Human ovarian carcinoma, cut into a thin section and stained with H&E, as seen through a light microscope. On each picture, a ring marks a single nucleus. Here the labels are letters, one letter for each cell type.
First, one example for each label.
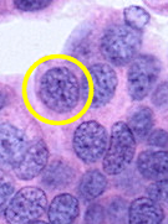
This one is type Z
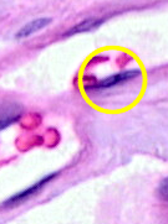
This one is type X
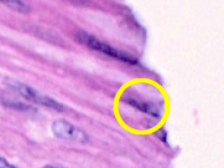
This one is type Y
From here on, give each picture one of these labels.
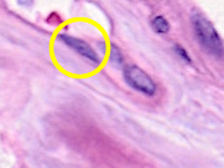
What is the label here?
type X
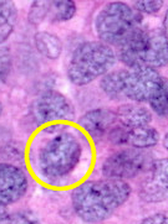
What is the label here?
type Z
